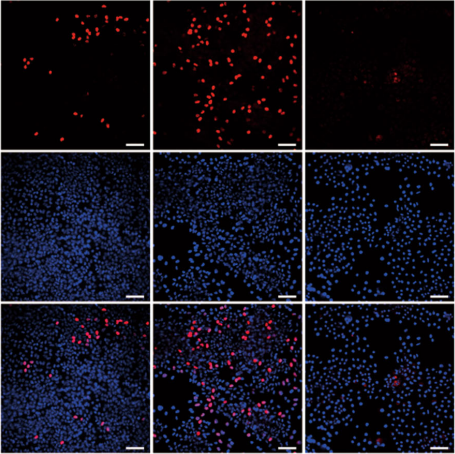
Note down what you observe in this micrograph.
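In the blue channel the nuclei are small, round to oval and evenly stained. They lie densely packed in a monolayer, and the density differs between the columns. In the red channel only a subset of nuclei is labelled. These red nuclei are bright and round and are scattered among the others. In the merged images the red nuclei sit on top of blue ones, which identifies them as nuclei of the same cells.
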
